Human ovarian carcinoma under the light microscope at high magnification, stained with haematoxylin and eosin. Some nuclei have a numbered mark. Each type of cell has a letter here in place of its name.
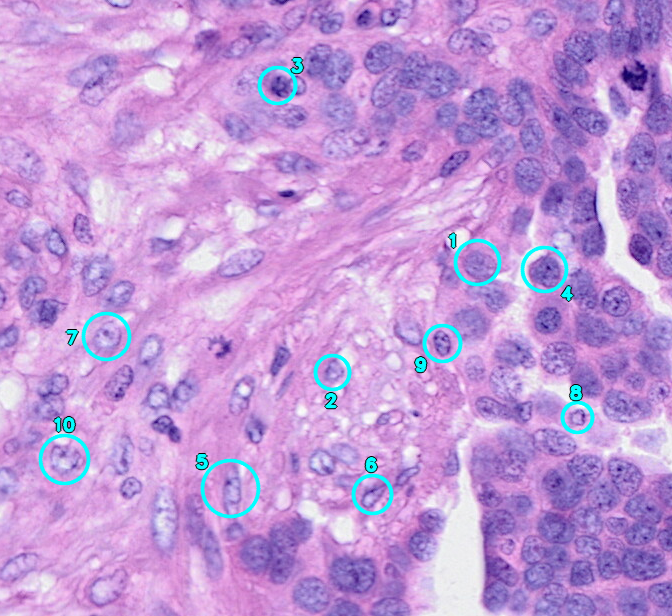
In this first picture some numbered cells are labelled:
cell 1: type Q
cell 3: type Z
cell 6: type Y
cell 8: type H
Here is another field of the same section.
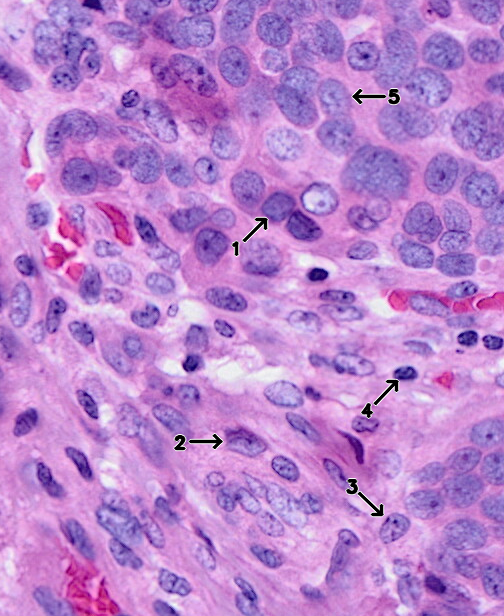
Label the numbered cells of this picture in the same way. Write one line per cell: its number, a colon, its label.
1: type Q
2: type Y
3: type H
4: type Z
5: type Q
